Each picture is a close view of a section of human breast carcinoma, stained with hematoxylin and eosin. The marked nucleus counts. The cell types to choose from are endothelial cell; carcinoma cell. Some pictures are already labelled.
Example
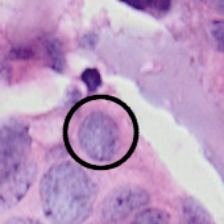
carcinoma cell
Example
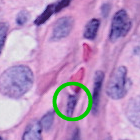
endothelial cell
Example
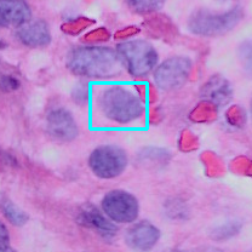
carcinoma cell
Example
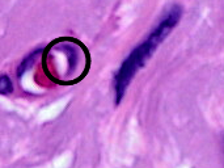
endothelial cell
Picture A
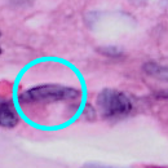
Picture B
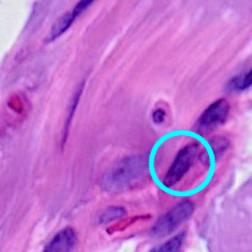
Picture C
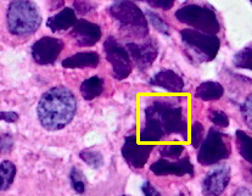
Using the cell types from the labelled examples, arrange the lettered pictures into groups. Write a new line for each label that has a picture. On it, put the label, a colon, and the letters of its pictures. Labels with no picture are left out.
endothelial cell: A, B
carcinoma cell: C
